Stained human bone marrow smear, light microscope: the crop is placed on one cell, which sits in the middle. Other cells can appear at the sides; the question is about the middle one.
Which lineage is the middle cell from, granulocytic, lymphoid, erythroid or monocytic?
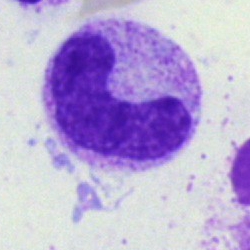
granulocytic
